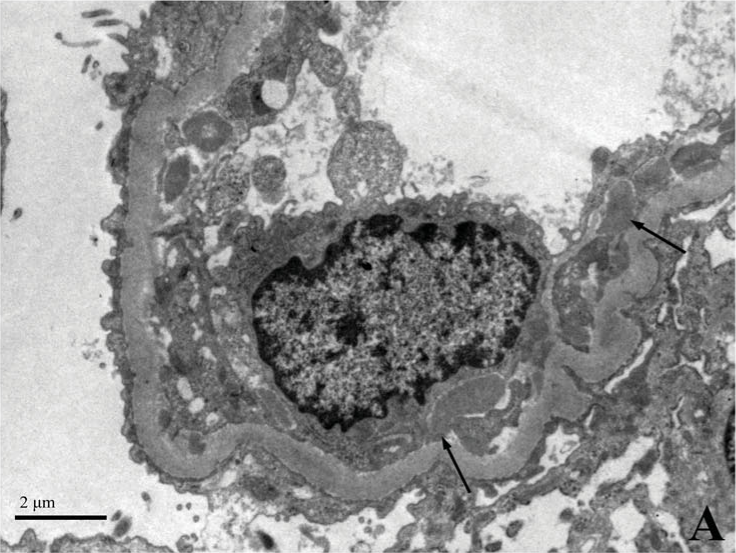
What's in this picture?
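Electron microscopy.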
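This electron micrograph shows a curved capillary wall, seen as a thick, smooth grey band, wrapped around a cell with a large oval nucleus. The nucleus has dark clumps of chromatin gathered along its rim and a paler, granular interior. The cytoplasm around it holds small rounded organelles and vesicles. Outside the grey band, thin cell processes line the outer surface in a fringe of small feet. The arrows point to darker, lumpy material lying against the inner side of the grey wall, denser than the band itself, which is the kind of deposit being highlighted here.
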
